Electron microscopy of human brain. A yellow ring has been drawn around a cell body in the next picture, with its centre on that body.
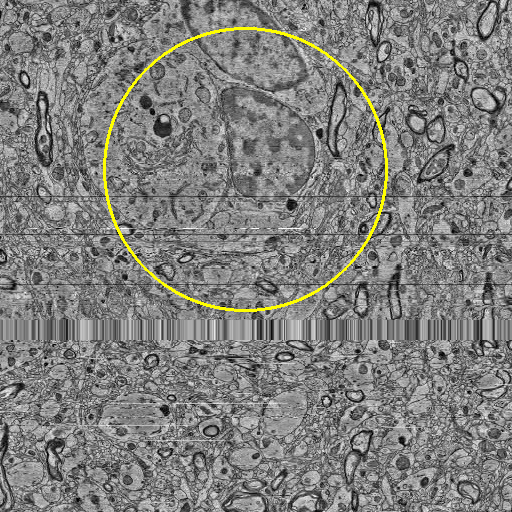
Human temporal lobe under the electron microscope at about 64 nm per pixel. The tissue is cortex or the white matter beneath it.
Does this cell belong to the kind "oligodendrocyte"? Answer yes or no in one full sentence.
No, the ringed cell in this picture, sitting at the ring's centre, is of another kind.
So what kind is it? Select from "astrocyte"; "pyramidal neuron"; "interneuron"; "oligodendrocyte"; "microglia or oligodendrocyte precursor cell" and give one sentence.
Instead, the ringed cell here is a microglial cell or oligodendrocyte precursor cell.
